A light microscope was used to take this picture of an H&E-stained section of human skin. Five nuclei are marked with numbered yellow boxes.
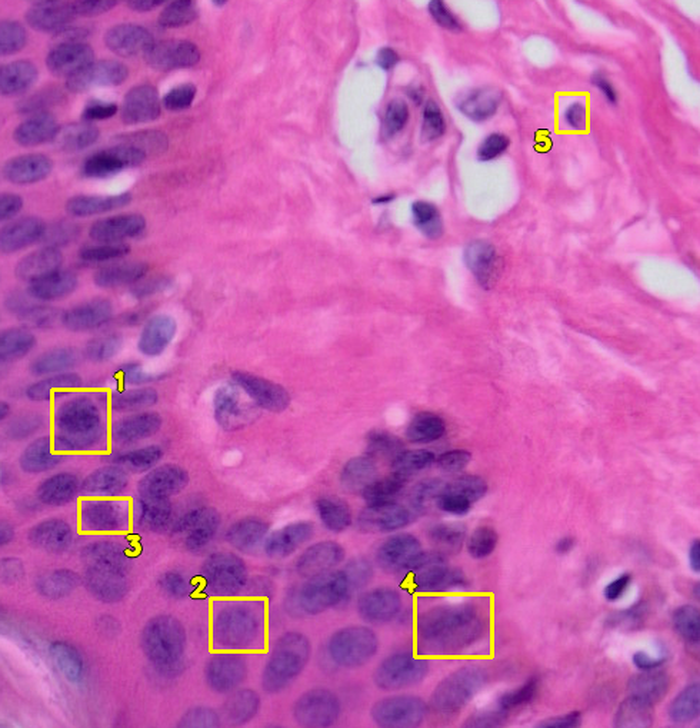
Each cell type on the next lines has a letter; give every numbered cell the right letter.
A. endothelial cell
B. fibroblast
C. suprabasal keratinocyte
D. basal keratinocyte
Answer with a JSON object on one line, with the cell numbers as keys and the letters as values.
{"1": "D", "2": "C", "3": "D", "4": "D", "5": "B"}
